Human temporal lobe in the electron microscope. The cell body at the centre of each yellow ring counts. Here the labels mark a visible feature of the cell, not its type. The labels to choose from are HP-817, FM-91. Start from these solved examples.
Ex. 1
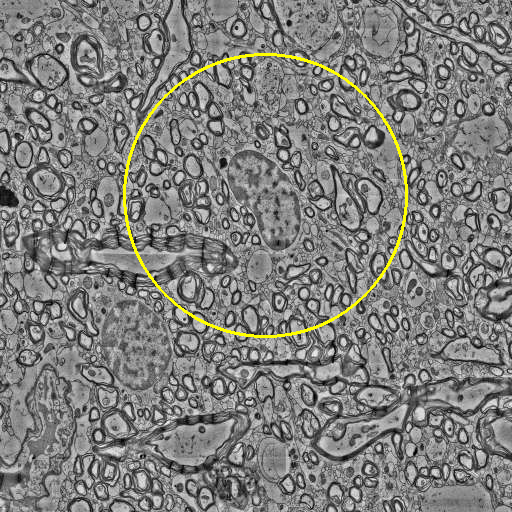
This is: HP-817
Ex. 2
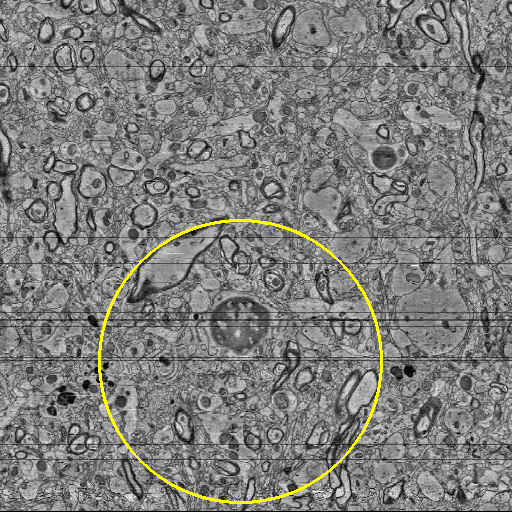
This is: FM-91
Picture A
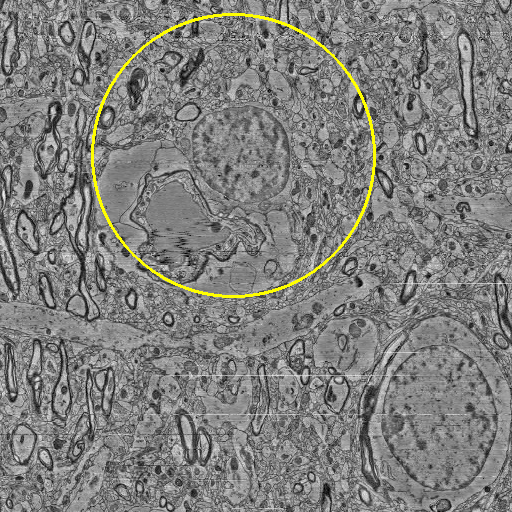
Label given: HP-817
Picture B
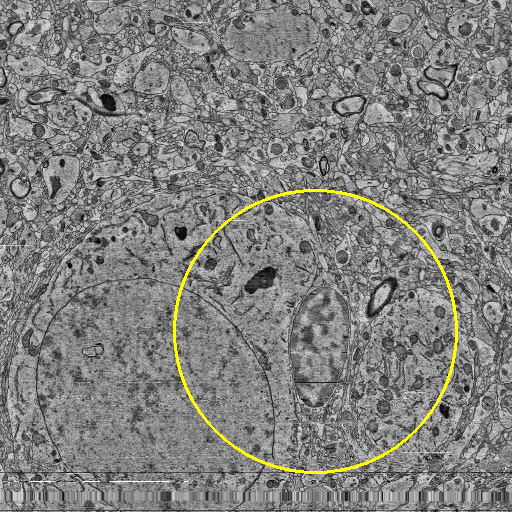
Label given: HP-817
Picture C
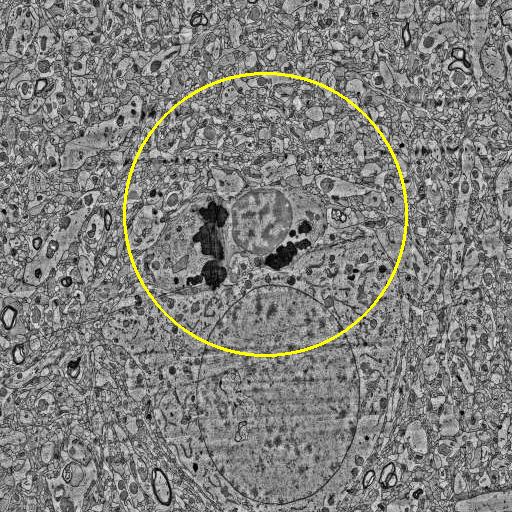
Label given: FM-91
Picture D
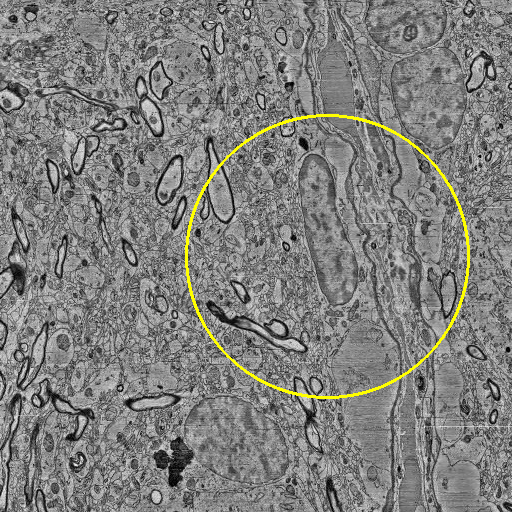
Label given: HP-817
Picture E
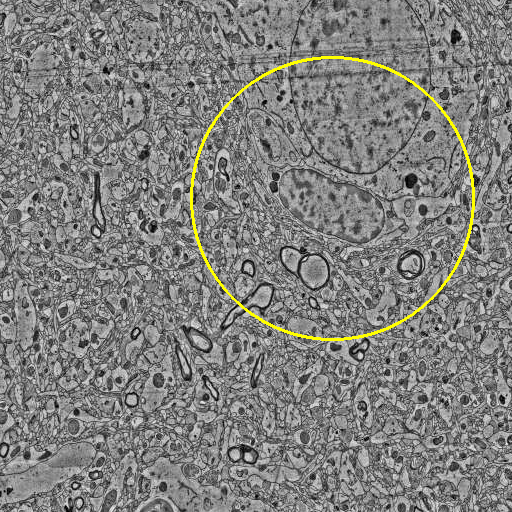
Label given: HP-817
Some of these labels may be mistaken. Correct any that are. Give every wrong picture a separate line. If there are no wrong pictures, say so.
A: FM-91, not HP-817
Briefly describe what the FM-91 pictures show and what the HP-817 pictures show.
FM-91, round or nearly round nuclei; HP-817, clearly elongated nuclei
